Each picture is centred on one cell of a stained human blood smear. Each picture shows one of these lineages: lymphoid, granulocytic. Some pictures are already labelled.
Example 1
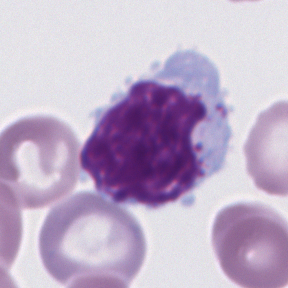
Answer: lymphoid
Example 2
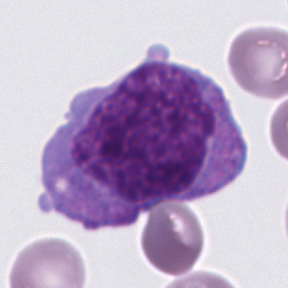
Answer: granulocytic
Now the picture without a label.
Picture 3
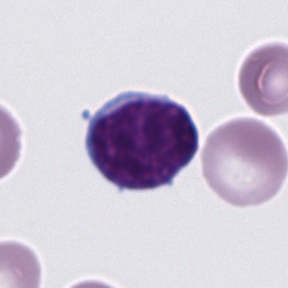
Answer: lymphoid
